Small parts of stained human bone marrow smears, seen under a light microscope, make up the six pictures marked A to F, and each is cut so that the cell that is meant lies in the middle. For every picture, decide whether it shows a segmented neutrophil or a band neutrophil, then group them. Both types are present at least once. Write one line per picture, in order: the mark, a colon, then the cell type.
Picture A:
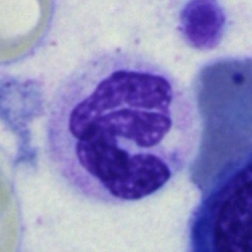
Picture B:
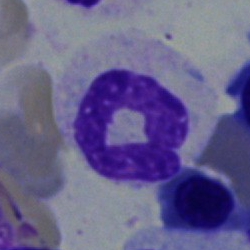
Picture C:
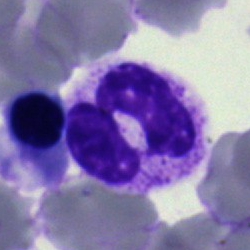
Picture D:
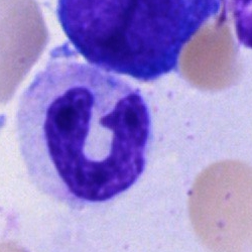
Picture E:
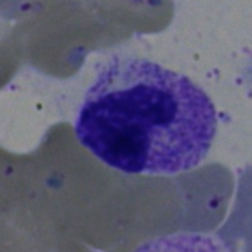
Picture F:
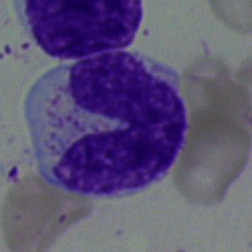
A: segmented neutrophil
B: band neutrophil
C: segmented neutrophil
D: band neutrophil
E: segmented neutrophil
F: band neutrophil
